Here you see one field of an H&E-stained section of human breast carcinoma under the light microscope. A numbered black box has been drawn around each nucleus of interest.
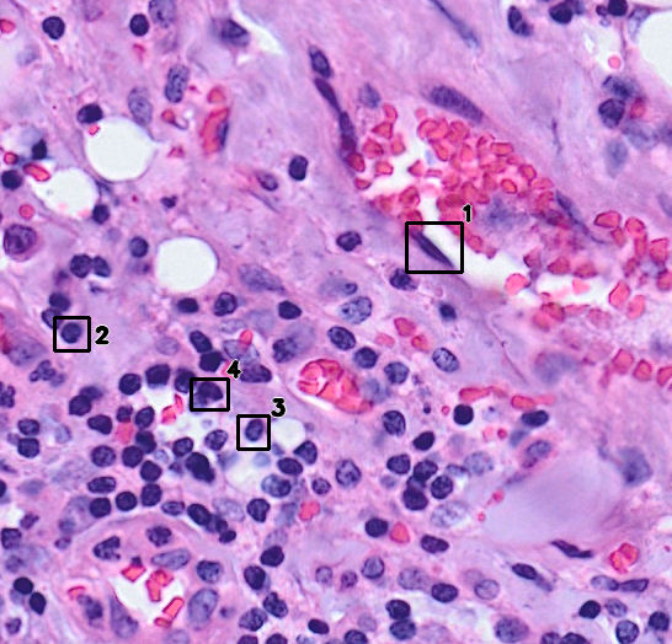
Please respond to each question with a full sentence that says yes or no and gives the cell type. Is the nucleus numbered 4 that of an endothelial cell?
No, the cell referred to as 4 is a lymphocyte, not an endothelial cell.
